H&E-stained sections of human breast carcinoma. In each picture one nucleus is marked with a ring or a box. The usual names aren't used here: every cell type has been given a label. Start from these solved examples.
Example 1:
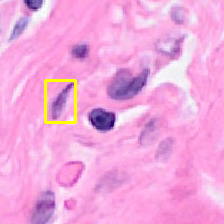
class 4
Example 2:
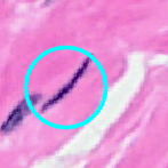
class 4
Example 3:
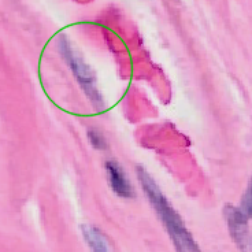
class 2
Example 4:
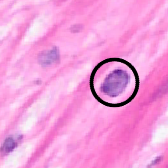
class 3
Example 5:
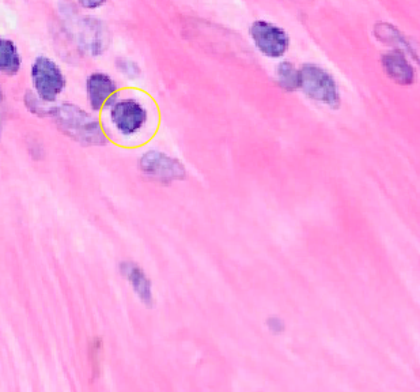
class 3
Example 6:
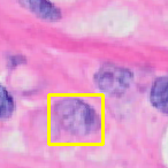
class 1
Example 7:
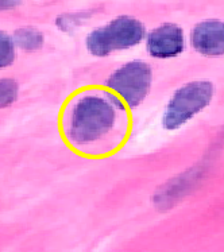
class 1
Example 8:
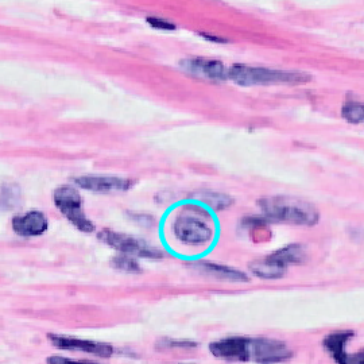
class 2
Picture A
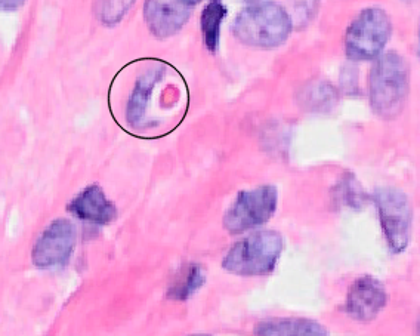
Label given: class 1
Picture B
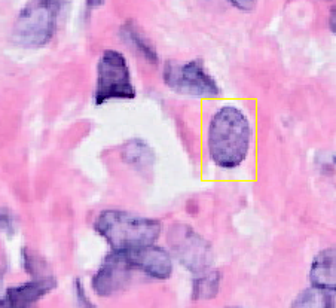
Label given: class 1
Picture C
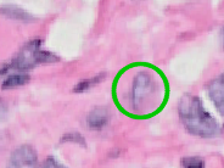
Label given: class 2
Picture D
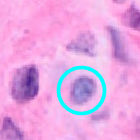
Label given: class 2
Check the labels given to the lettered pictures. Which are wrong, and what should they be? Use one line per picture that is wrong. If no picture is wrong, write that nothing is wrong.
A should be class 2, not class 1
